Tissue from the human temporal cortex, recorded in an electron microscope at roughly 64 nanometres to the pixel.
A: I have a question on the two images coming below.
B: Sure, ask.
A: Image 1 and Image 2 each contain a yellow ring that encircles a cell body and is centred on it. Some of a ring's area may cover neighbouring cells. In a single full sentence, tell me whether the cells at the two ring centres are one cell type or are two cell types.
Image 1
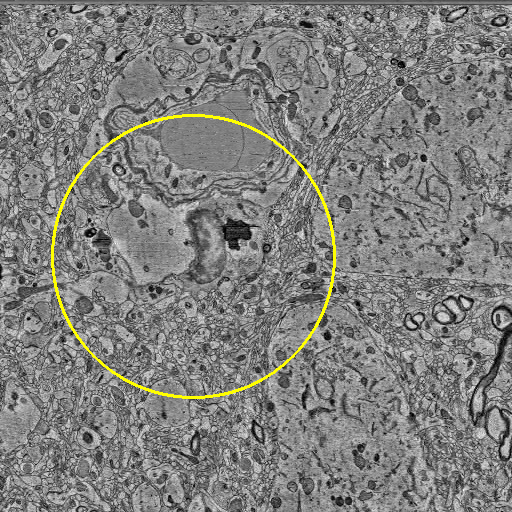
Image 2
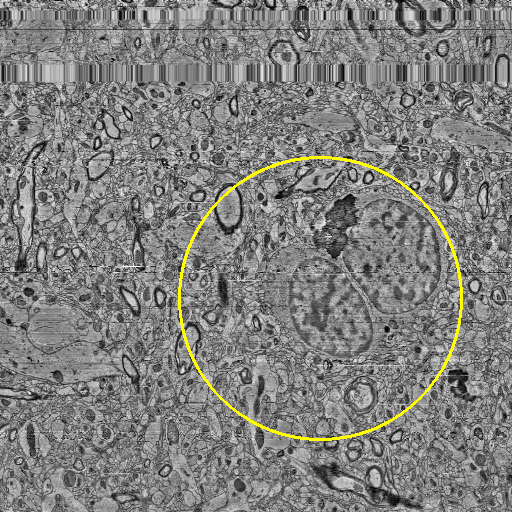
As for the ring-centre cells, the one in Image 1 and the one in Image 2 are one cell type.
